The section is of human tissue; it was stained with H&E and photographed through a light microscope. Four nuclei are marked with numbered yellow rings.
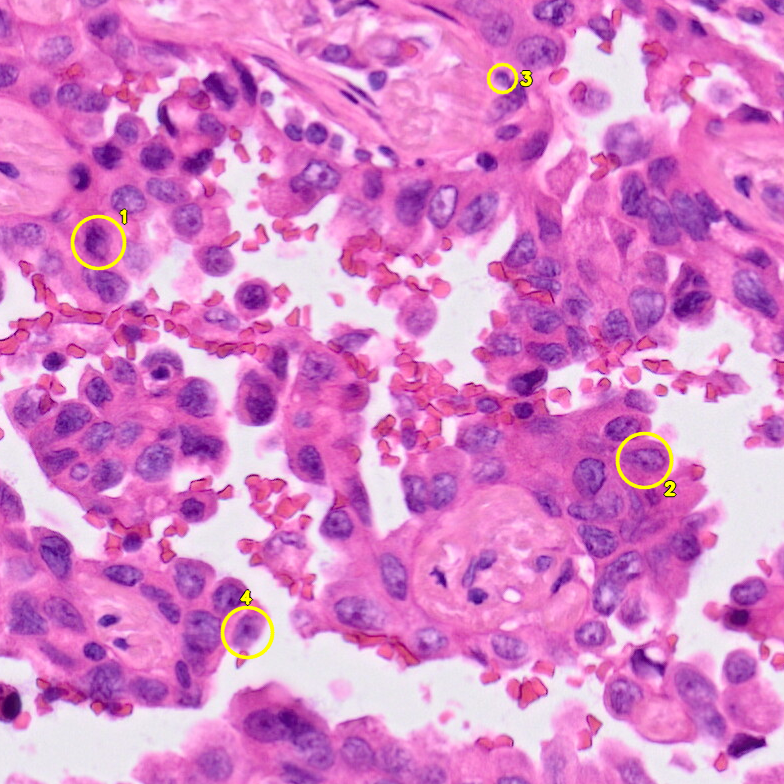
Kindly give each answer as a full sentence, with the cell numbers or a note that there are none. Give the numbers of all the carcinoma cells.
Cells numbered 1, 2 and 4 belong to the group of carcinoma cells.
